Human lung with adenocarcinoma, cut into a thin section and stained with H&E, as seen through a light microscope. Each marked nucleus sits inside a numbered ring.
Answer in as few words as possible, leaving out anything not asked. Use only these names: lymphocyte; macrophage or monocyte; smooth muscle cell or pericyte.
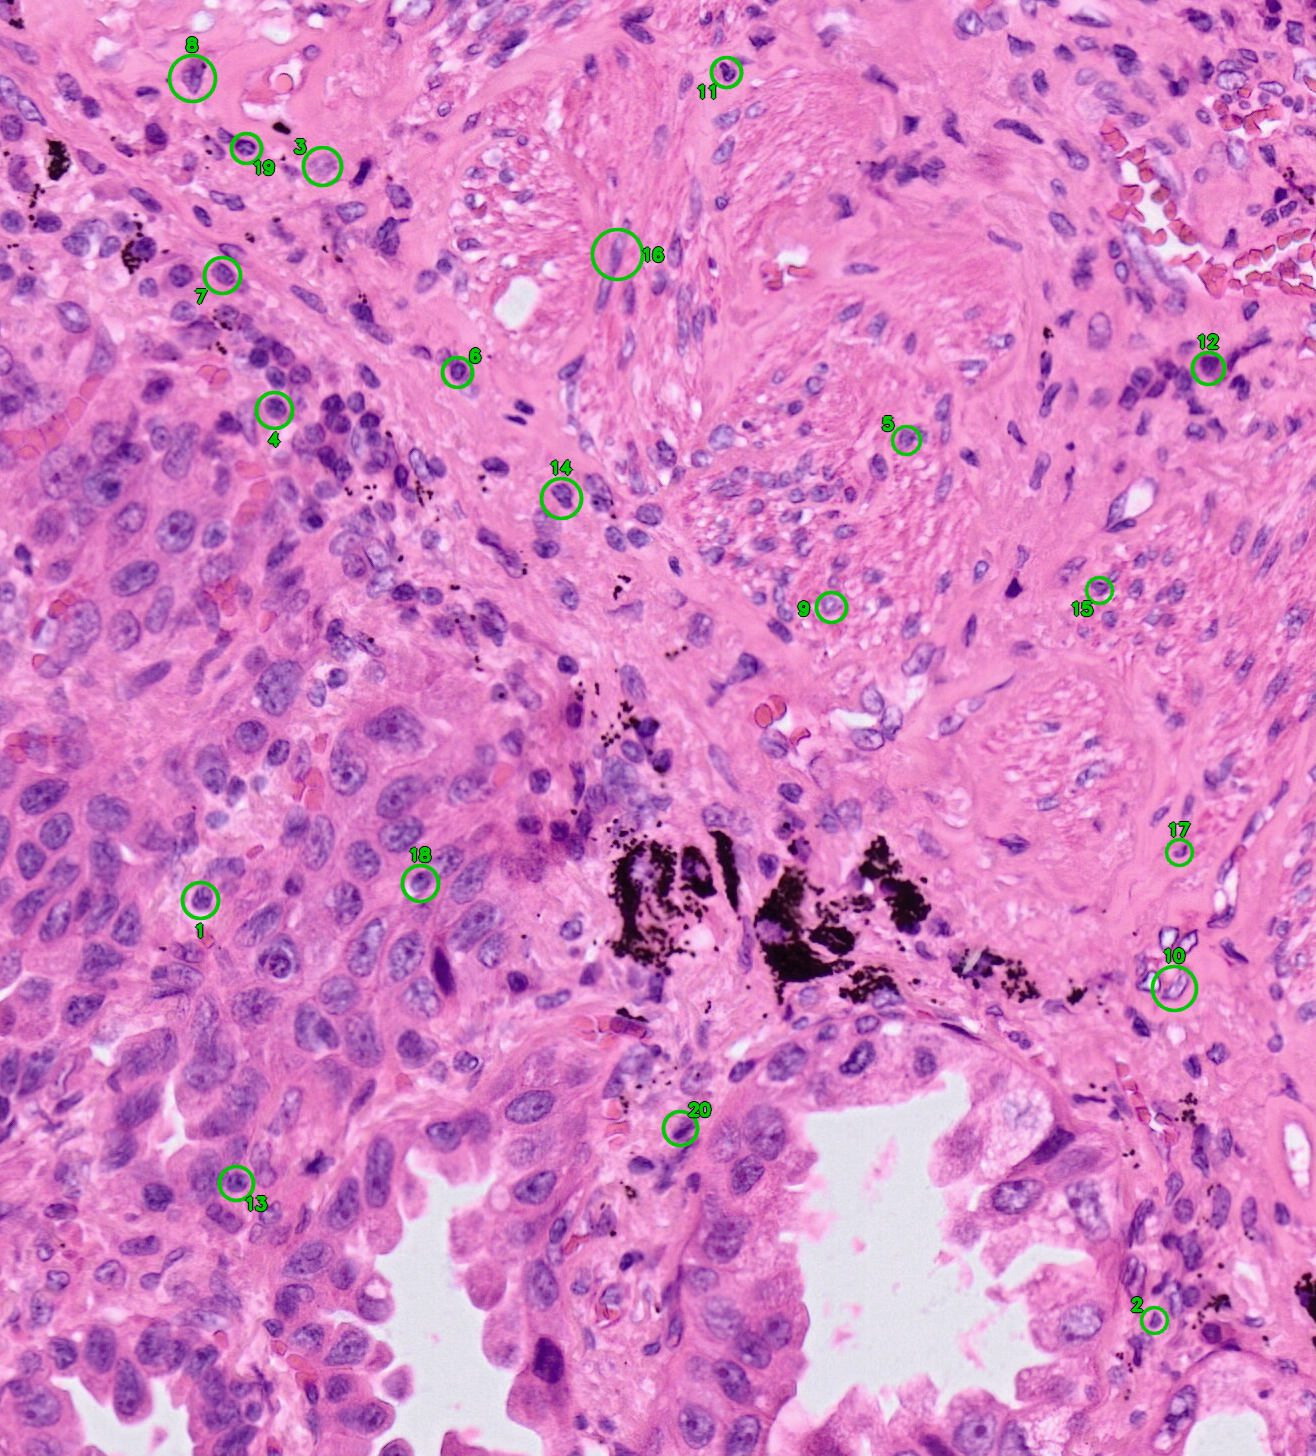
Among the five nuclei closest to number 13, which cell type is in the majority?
macrophage or monocyte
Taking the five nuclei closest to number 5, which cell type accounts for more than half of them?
smooth muscle cell or pericyte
